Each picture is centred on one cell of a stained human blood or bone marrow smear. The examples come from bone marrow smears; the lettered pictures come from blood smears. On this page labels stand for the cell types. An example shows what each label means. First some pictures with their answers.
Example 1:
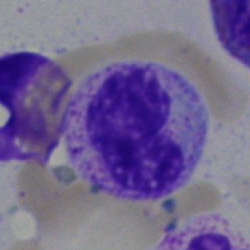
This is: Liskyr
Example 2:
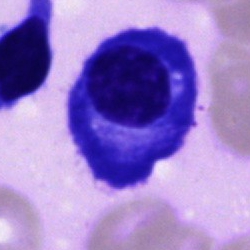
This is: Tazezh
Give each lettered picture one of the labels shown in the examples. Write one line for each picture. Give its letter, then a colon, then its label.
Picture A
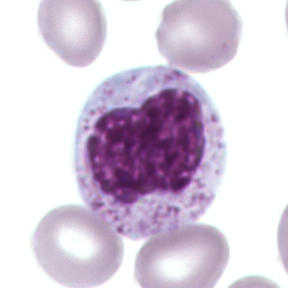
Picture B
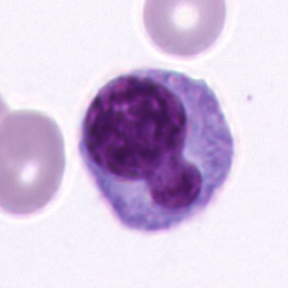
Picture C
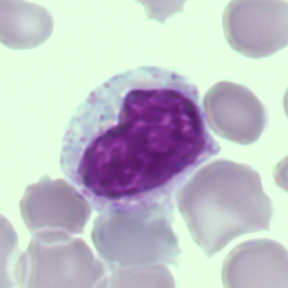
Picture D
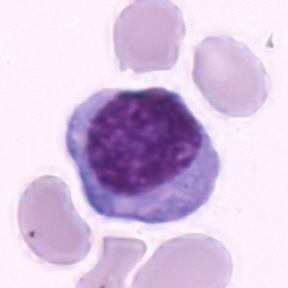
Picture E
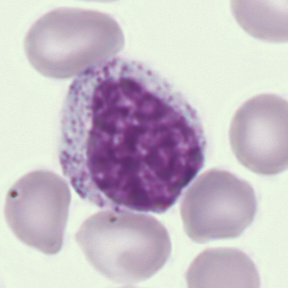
A: Liskyr
B: Tazezh
C: Liskyr
D: Tazezh
E: Liskyr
